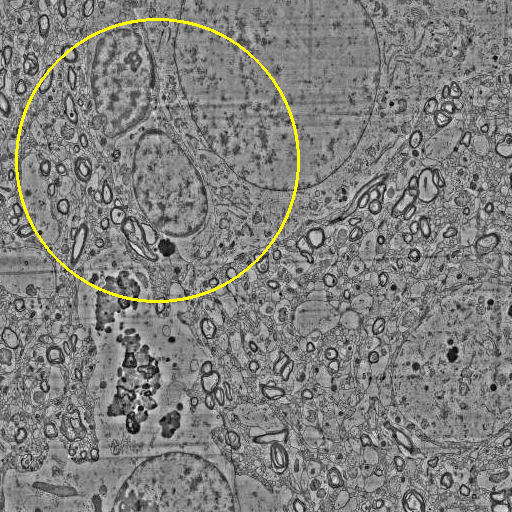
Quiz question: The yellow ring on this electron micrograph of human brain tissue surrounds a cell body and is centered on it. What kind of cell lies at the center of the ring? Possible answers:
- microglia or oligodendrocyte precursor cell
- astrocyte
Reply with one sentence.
The ring's center lies on a microglial cell or oligodendrocyte precursor cell.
